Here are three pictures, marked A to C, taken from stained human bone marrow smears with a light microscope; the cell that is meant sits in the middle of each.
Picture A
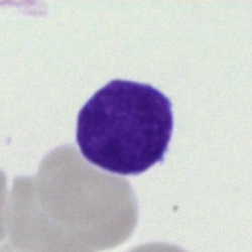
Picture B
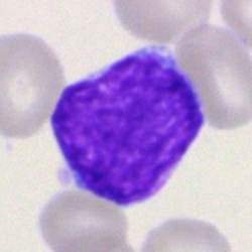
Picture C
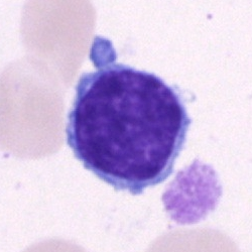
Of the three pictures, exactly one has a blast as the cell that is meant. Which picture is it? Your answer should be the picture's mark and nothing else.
B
